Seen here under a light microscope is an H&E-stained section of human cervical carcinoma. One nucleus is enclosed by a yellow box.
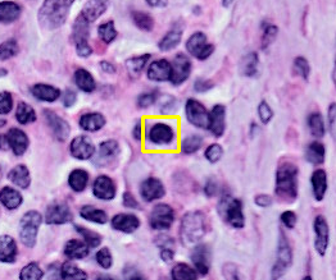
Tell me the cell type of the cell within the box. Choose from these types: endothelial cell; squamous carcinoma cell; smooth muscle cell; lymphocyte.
lymphocyte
